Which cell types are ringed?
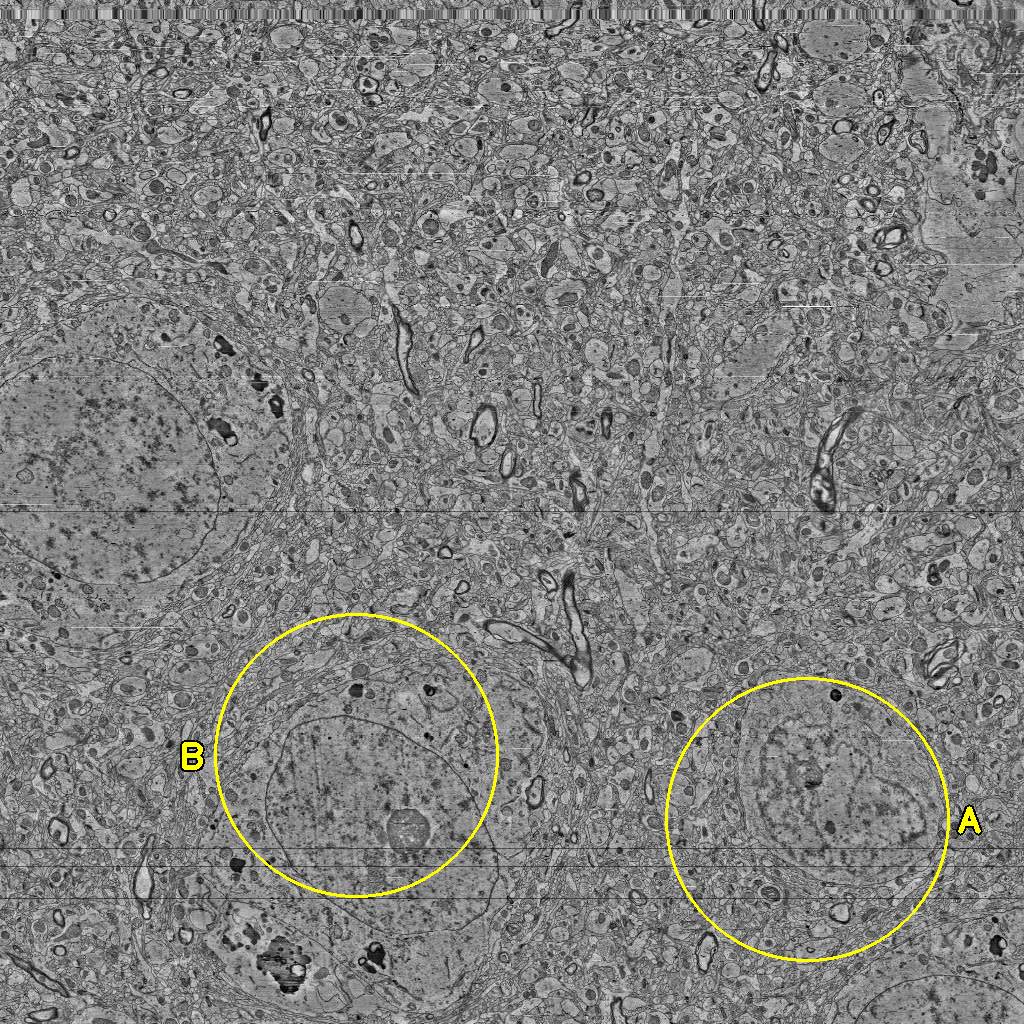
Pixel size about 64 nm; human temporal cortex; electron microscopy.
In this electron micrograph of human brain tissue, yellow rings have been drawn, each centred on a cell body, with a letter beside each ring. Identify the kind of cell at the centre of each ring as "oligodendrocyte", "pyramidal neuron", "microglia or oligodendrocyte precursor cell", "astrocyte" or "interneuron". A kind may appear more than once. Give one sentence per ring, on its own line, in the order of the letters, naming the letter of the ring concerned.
Ring A is drawn on an interneuron.
Ring B is drawn on a pyramidal neuron.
